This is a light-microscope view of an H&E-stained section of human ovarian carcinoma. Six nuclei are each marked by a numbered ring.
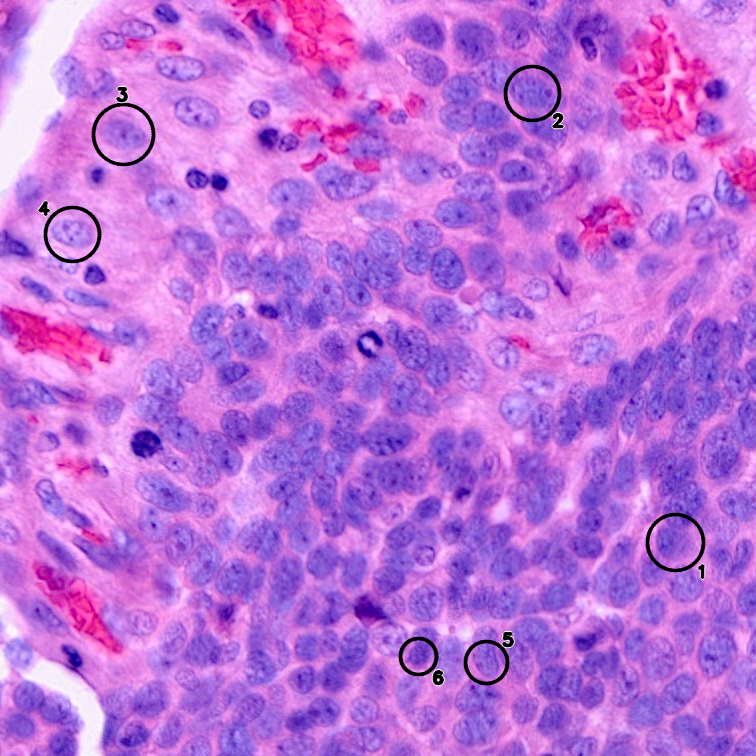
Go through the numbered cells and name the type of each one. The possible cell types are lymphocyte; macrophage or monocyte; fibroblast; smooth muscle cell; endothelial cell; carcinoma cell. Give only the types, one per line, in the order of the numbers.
carcinoma cell
carcinoma cell
fibroblast
fibroblast
carcinoma cell
carcinoma cell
